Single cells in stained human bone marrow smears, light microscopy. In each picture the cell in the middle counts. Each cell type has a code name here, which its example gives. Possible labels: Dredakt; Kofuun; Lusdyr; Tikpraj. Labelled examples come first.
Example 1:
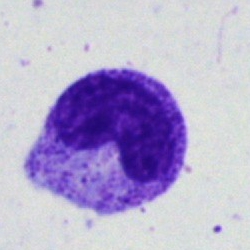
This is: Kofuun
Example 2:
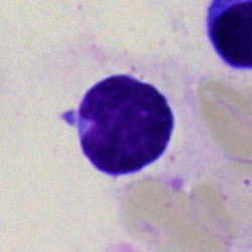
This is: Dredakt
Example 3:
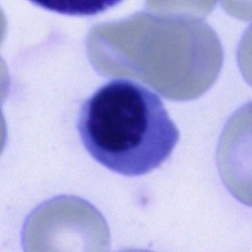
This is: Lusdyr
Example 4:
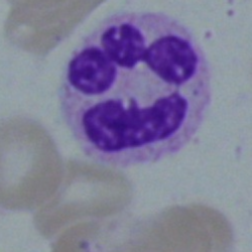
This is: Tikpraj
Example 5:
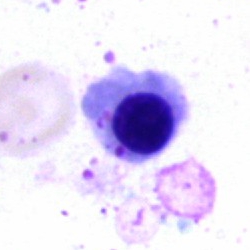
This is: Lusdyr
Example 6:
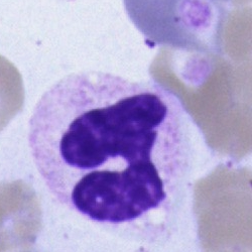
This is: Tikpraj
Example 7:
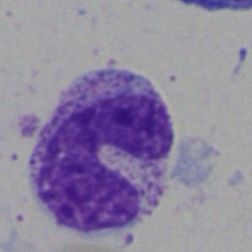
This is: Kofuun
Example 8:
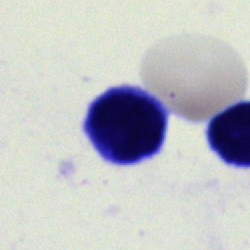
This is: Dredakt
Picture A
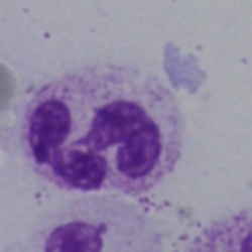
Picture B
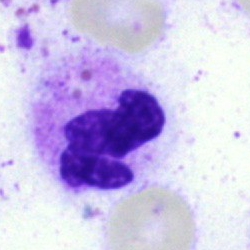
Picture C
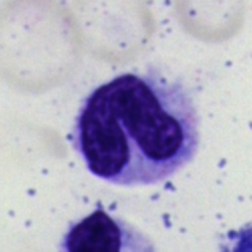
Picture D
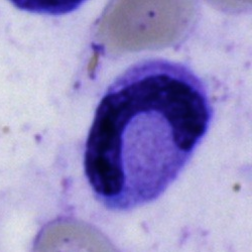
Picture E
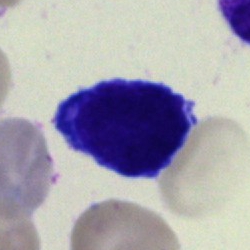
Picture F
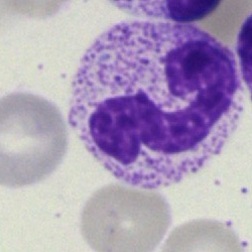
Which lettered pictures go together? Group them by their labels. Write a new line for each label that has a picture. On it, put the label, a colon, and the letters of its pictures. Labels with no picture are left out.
Dredakt: E
Kofuun: C, D
Tikpraj: A, B, F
